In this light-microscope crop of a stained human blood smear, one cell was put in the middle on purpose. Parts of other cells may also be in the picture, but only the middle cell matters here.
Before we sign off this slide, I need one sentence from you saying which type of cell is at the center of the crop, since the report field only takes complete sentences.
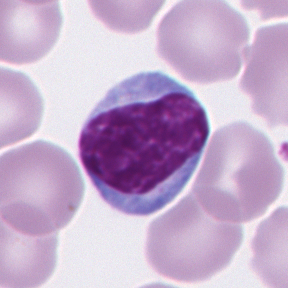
Present in the middle of the crop is a typical lymphocyte.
